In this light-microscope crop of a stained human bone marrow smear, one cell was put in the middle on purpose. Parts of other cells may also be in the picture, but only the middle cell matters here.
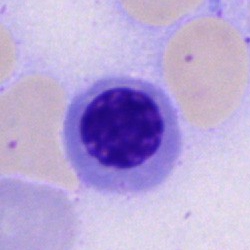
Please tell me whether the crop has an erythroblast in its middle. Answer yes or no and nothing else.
yes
